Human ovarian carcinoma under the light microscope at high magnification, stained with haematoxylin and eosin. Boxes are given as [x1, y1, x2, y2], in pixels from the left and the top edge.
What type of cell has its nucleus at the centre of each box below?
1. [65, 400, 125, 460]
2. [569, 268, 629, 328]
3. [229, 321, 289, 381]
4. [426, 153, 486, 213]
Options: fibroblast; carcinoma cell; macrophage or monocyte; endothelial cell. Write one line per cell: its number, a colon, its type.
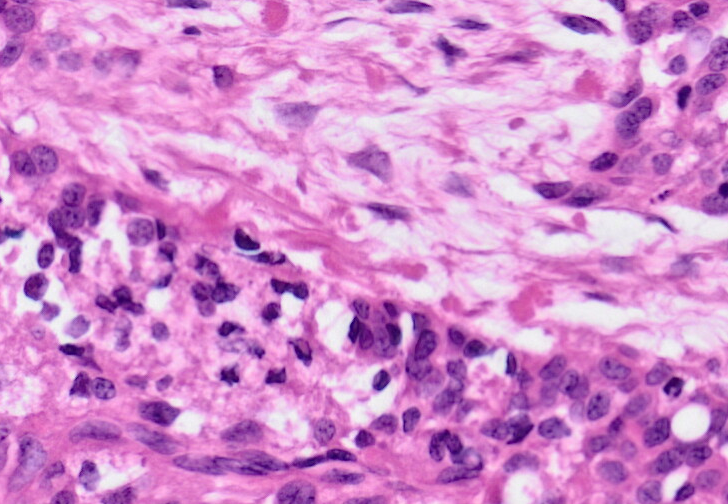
1: endothelial cell
2: fibroblast
3: macrophage or monocyte
4: fibroblast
